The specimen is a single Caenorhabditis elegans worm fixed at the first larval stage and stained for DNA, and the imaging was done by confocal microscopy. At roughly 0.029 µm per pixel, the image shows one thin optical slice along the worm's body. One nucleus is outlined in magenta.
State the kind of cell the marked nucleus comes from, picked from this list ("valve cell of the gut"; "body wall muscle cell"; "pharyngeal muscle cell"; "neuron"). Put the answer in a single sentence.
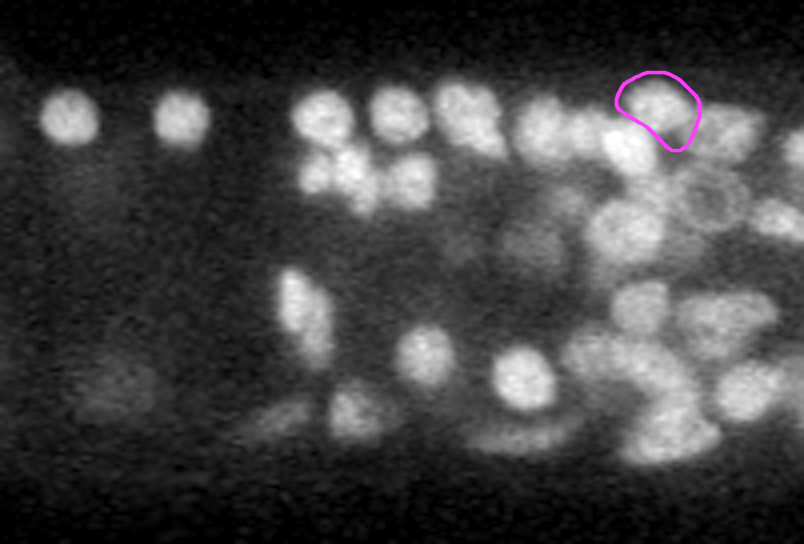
The marked nucleus is that of a neuron.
